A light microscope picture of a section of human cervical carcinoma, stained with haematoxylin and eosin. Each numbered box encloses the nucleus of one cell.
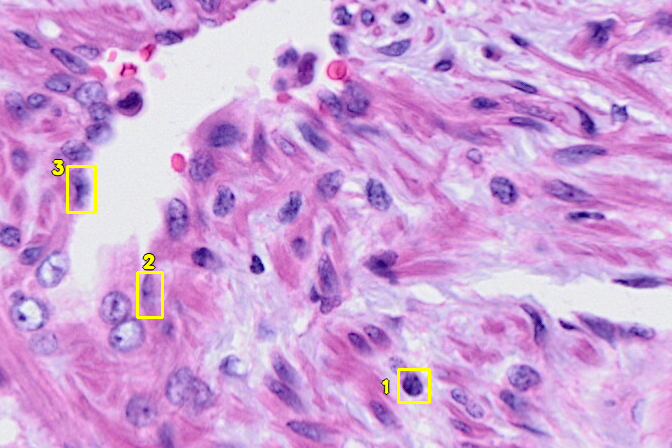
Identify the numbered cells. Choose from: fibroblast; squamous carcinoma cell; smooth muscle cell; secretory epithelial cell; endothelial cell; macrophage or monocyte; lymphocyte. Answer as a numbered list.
1. lymphocyte
2. endothelial cell
3. endothelial cell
